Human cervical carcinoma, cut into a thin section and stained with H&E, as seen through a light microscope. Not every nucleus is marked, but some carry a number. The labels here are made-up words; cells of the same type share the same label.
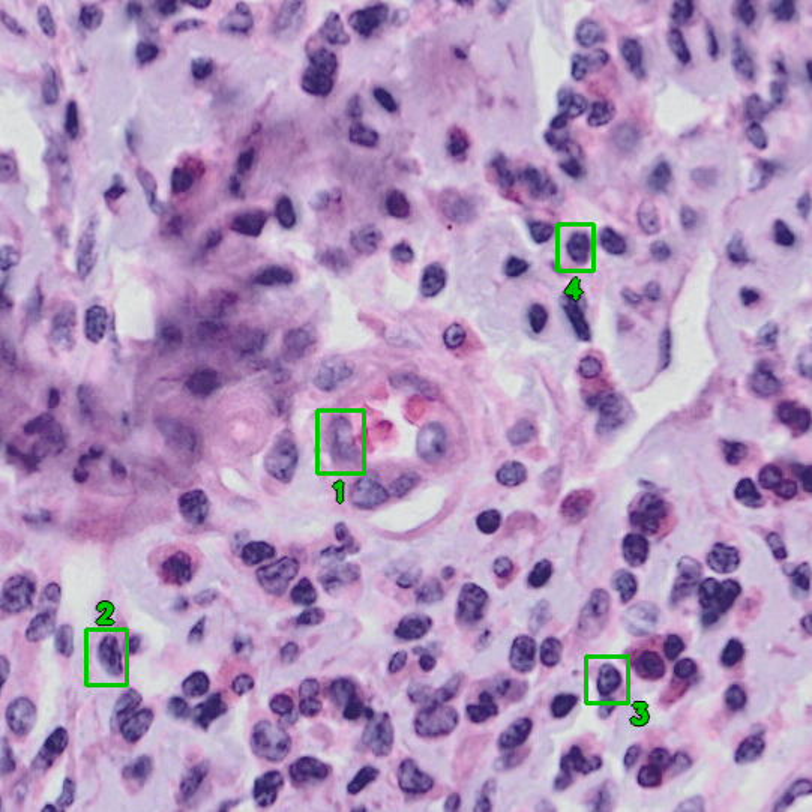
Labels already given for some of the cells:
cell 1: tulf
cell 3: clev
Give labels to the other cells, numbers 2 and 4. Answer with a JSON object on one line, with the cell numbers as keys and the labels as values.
{"2": "clev", "4": "clev"}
